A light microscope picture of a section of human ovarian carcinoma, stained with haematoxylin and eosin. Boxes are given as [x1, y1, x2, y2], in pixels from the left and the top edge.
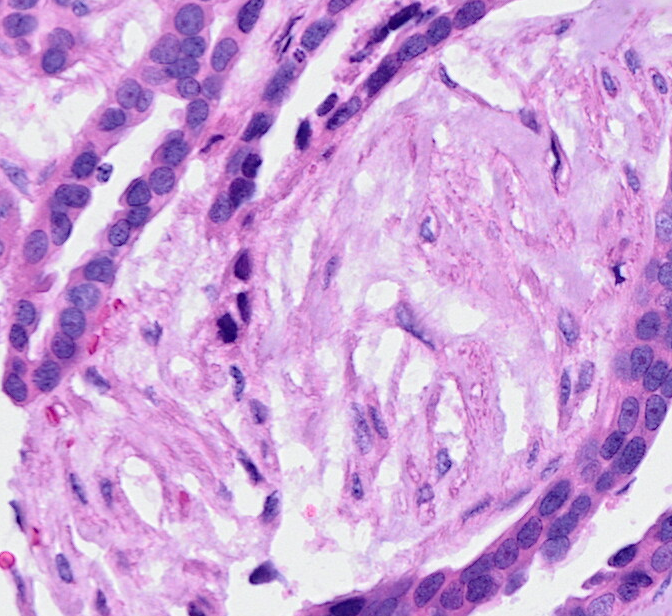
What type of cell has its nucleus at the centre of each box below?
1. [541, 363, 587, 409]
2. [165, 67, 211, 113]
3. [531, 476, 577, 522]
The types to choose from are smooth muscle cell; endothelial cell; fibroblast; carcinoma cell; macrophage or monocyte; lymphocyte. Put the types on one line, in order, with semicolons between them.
fibroblast; carcinoma cell; carcinoma cell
